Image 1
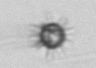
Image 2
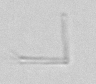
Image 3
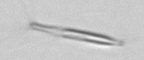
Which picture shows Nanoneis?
Picture 2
